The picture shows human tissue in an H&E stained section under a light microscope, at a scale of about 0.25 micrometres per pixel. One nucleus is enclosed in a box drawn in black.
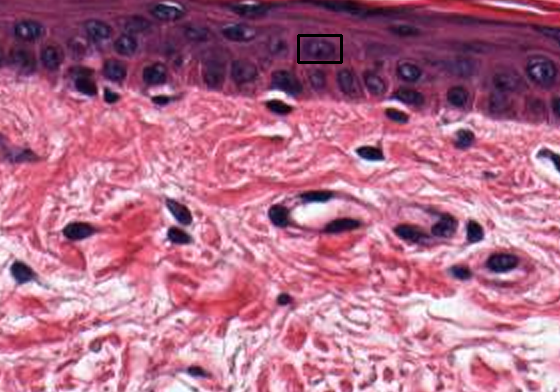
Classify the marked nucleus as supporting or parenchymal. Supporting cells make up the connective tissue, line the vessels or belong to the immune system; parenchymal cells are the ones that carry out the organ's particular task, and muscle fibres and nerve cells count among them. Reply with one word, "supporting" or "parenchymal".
parenchymal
